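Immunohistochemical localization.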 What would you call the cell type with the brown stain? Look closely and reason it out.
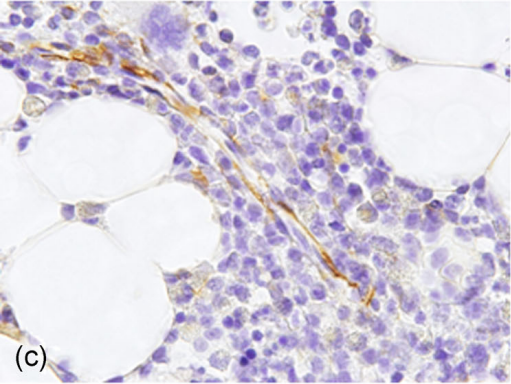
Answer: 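Brown stain lies in thin, elongated cells. The stained cells line a narrow channel running diagonally through the marrow. Surrounding hematopoietic cells are unstained blue. On this evidence: vascular endothelial cells.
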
